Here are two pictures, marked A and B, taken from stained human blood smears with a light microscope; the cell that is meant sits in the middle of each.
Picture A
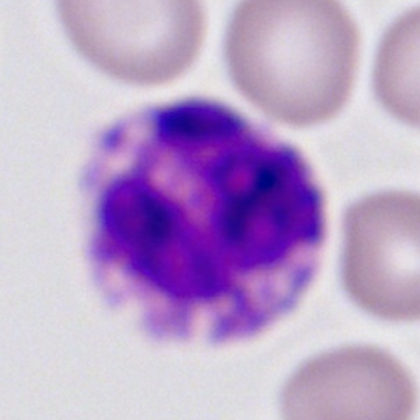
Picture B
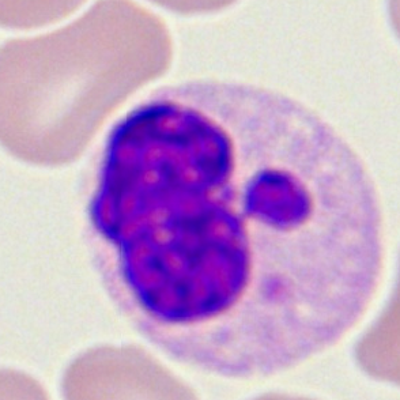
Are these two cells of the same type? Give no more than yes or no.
no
